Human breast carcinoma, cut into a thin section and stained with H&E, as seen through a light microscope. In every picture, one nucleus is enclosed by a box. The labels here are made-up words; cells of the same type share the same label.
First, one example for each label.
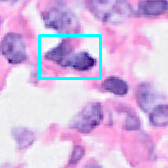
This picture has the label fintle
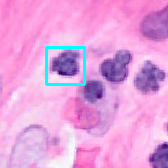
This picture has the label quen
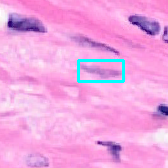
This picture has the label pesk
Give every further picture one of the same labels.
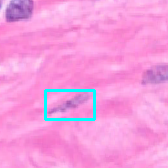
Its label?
pesk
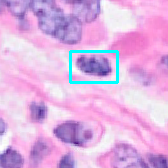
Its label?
quen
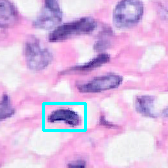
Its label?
quen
